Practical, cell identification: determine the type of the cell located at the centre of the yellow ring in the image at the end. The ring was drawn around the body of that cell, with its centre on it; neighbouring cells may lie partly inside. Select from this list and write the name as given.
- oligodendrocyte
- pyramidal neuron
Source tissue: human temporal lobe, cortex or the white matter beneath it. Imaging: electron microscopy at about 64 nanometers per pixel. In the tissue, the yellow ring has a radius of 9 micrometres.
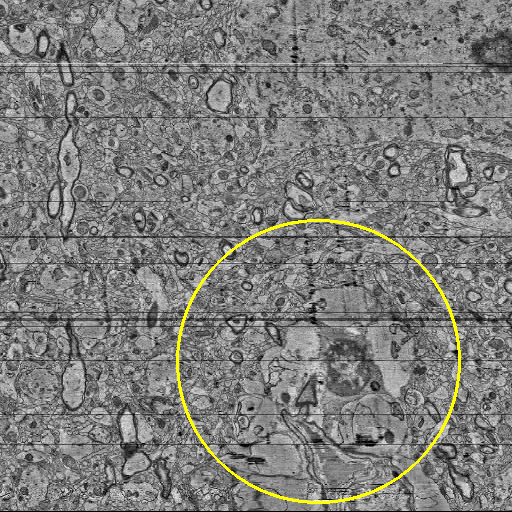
oligodendrocyte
